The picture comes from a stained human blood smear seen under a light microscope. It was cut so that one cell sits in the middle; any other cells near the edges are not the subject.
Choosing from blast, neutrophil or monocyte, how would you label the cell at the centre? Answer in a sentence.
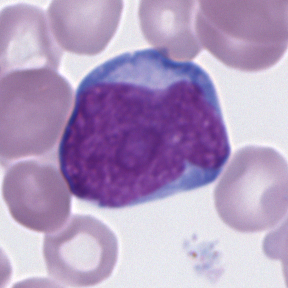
In the centre of this crop there is a blast.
